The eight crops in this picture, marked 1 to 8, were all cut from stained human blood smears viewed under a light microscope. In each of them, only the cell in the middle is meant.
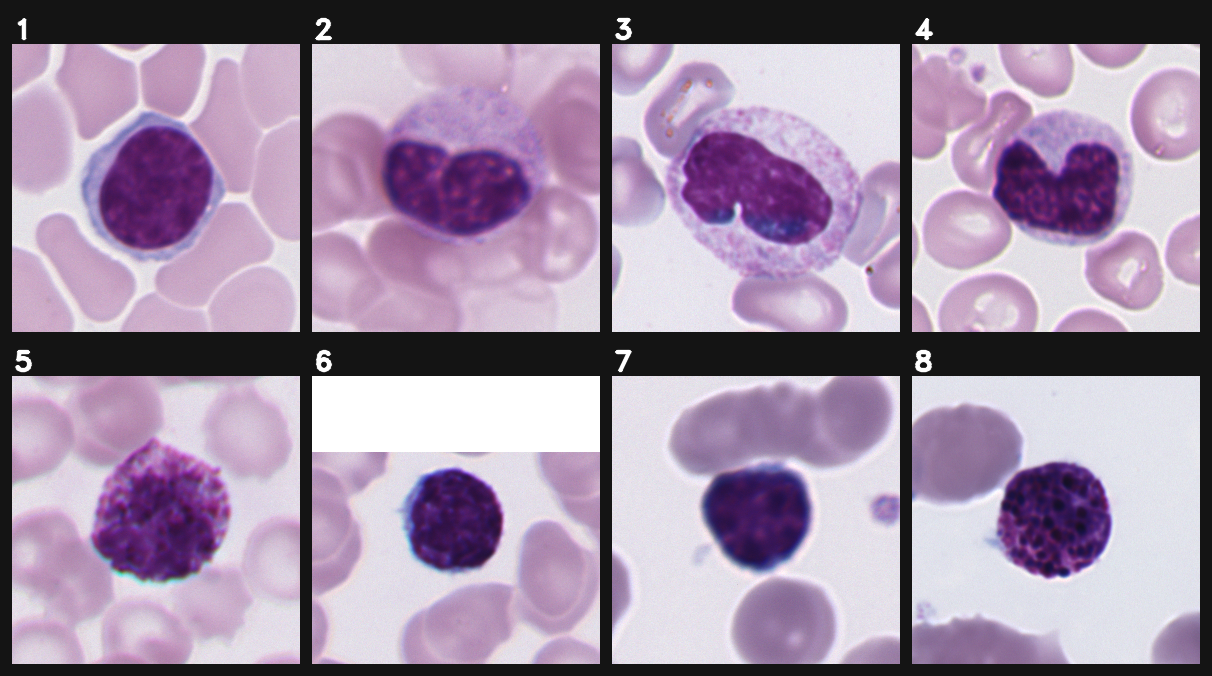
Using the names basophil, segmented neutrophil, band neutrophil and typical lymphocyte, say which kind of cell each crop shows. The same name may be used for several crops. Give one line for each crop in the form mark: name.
1: typical lymphocyte
2: band neutrophil
3: band neutrophil
4: band neutrophil
5: basophil
6: typical lymphocyte
7: typical lymphocyte
8: basophil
